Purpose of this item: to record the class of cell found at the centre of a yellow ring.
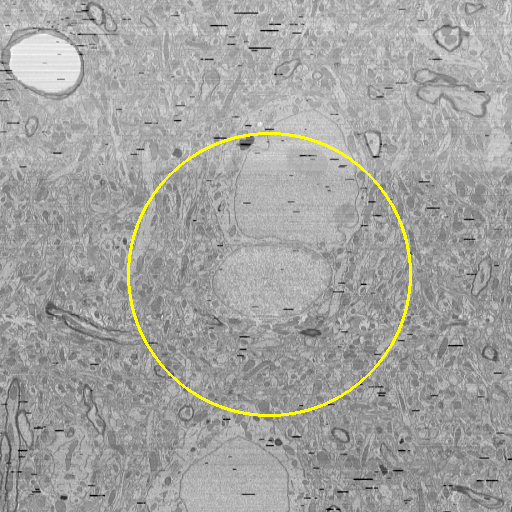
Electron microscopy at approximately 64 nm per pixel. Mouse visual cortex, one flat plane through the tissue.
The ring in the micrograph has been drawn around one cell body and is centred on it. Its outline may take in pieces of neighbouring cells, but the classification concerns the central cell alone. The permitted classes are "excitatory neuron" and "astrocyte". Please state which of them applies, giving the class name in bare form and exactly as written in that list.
astrocyte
